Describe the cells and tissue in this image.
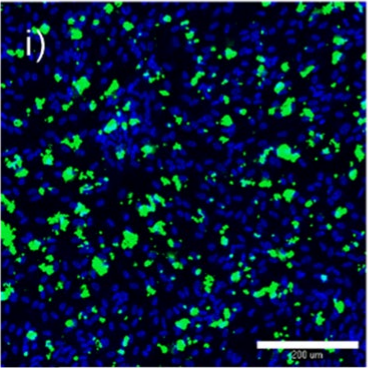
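Many green particles lie scattered among the nuclei. They range from tiny dots to large irregular clumps several times the size of a nucleus. The clumps are distributed fairly evenly over the sheet of cells rather than gathered in one region.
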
